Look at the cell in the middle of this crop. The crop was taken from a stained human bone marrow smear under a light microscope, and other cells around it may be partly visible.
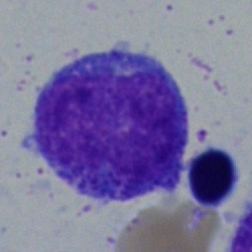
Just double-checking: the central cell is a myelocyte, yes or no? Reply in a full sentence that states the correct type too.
No, it is not a myelocyte that sits at the centre but a promyelocyte.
